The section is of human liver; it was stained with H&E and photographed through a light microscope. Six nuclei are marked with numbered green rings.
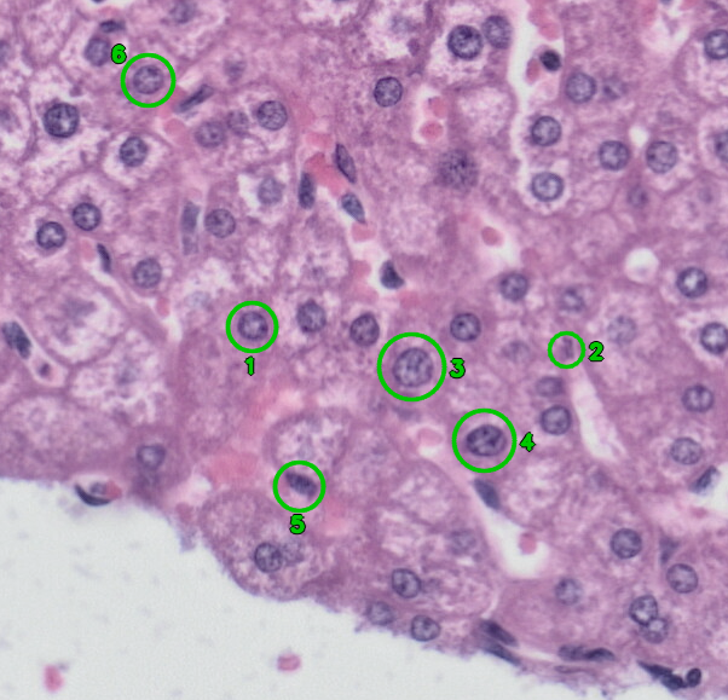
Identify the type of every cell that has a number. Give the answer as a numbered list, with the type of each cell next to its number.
1. hepatocyte
2. endothelial cell
3. hepatocyte
4. hepatocyte
5. fibroblast or stellate cell
6. hepatocyte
